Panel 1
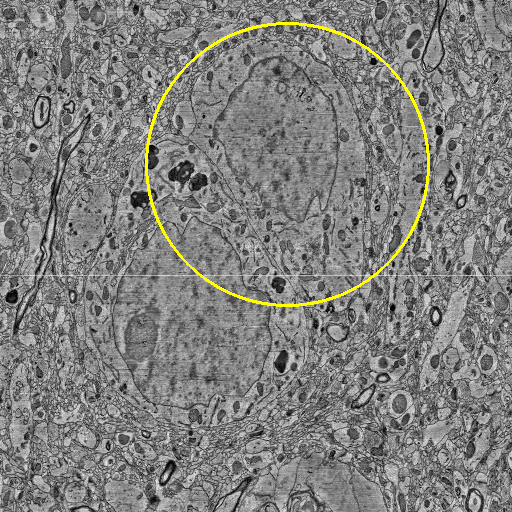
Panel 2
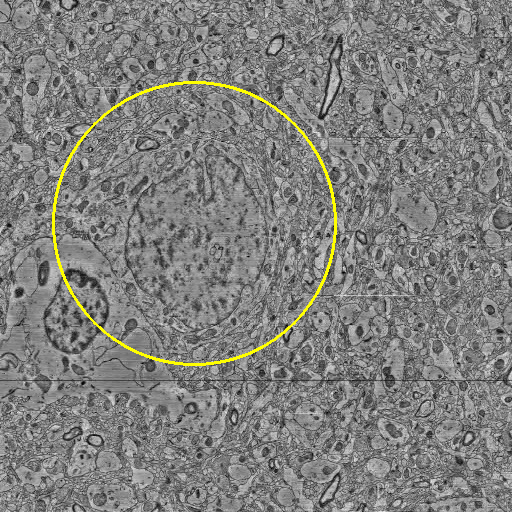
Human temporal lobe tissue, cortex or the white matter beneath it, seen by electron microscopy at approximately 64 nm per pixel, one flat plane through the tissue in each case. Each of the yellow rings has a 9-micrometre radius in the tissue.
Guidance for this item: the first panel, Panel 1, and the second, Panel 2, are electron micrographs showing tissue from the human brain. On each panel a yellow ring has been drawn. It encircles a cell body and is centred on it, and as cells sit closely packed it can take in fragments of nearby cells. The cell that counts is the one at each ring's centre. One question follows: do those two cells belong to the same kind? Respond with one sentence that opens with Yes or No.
Yes, the cells at the ring centres in Panel 1 and Panel 2 are of one kind.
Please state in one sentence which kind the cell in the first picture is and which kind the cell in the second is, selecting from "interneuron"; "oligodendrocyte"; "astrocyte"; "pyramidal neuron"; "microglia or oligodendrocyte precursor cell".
Each of the two rings is centred on an interneuron.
